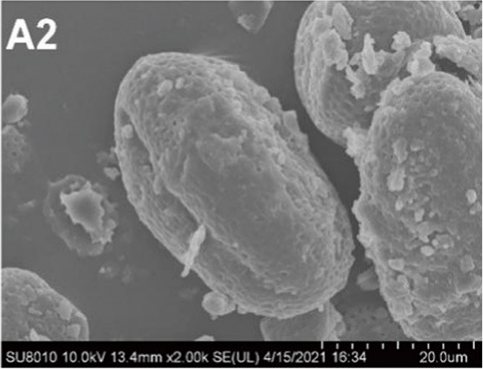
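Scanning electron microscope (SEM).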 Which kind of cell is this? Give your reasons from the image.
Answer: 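Pollen grain. A large ellipsoid grain fills much of the panel. Its surface carries a fine net-like pattern of small pits. A long furrow runs along the grain.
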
